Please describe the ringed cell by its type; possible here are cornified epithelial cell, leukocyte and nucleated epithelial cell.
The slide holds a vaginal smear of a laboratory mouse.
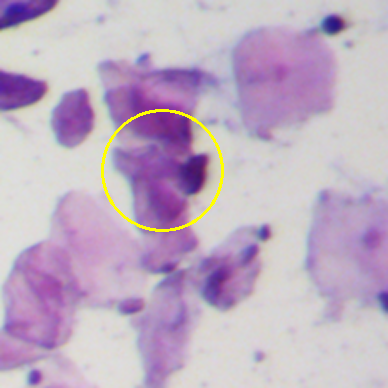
The yellow ring marks a cornified epithelial cell.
